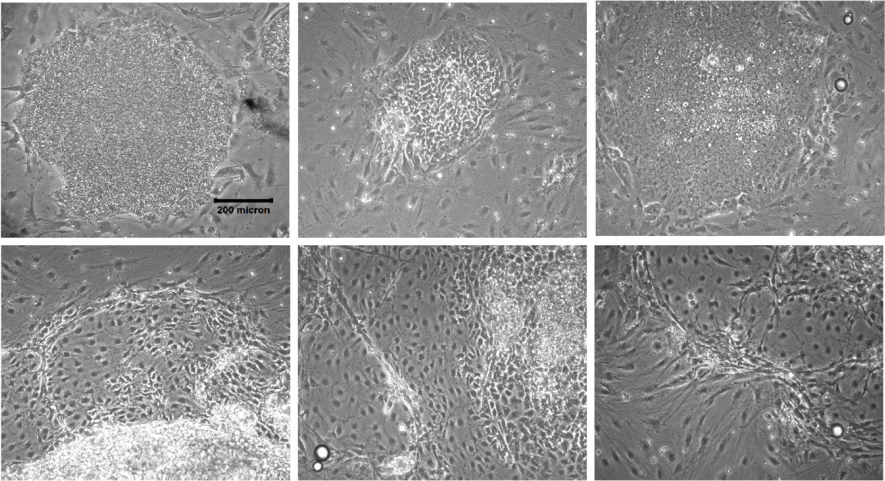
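One colony is a compact, sharply bounded mass of small, tightly packed cells. Other colonies are looser, with larger flattened polygonal cells, and elongated spindle-shaped cells stream outward across the feeder layer from the colony edges.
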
